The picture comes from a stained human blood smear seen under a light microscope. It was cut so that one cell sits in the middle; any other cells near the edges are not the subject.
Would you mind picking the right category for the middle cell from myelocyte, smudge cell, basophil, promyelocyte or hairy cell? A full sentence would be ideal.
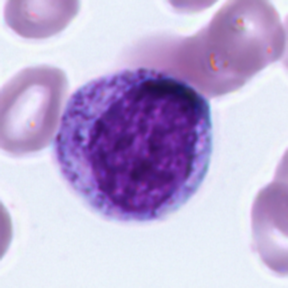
By classification, the middle cell of this crop is a myelocyte.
